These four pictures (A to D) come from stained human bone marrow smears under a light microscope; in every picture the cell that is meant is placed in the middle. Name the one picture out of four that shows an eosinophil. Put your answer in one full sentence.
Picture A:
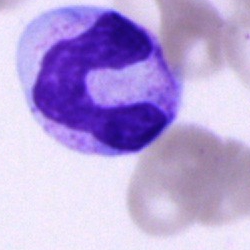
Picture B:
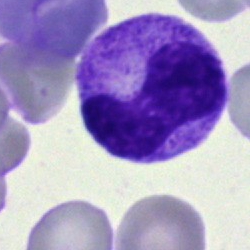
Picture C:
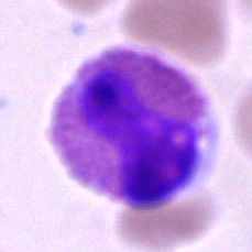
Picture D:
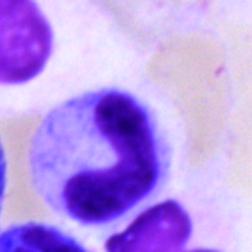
The picture with the eosinophil is C.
